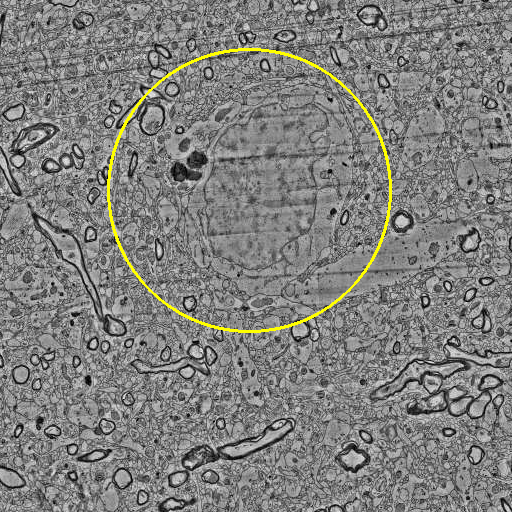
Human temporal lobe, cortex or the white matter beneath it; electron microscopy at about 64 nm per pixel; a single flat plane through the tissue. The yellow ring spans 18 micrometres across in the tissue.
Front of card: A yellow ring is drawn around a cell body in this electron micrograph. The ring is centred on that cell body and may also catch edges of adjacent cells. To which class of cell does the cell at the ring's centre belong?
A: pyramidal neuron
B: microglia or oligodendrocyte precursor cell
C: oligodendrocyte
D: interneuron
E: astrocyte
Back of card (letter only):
D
